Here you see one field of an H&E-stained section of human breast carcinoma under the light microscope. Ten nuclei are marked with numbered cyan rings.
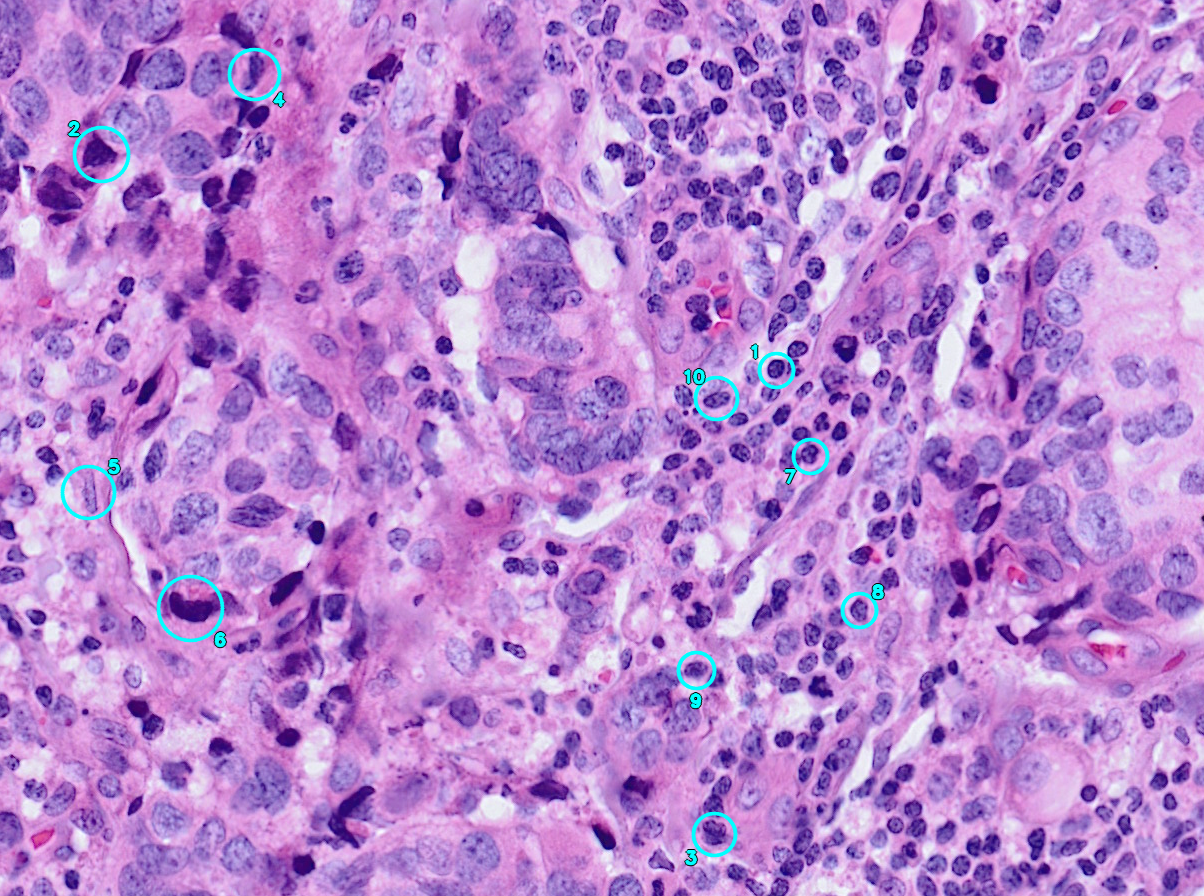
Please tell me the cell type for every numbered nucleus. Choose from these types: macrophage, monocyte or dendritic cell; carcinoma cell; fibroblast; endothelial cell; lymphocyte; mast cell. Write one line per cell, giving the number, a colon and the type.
1: lymphocyte
2: carcinoma cell
3: lymphocyte
4: carcinoma cell
5: macrophage, monocyte or dendritic cell
6: carcinoma cell
7: lymphocyte
8: lymphocyte
9: lymphocyte
10: lymphocyte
